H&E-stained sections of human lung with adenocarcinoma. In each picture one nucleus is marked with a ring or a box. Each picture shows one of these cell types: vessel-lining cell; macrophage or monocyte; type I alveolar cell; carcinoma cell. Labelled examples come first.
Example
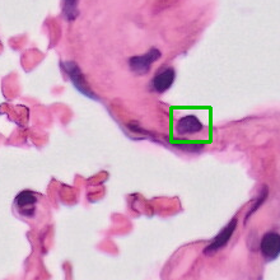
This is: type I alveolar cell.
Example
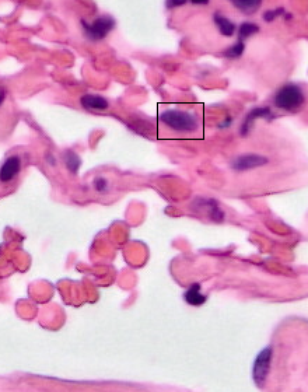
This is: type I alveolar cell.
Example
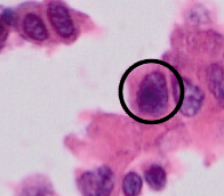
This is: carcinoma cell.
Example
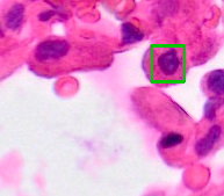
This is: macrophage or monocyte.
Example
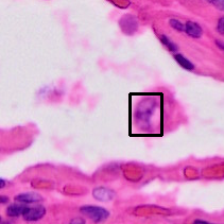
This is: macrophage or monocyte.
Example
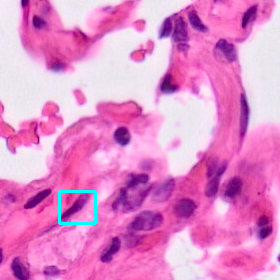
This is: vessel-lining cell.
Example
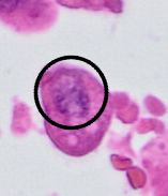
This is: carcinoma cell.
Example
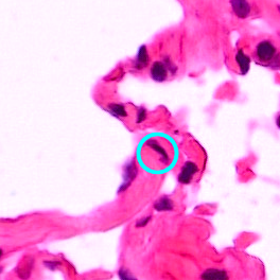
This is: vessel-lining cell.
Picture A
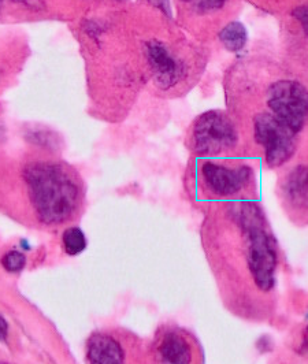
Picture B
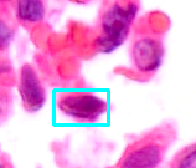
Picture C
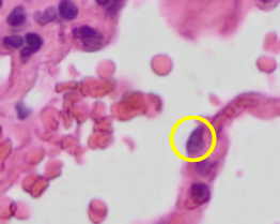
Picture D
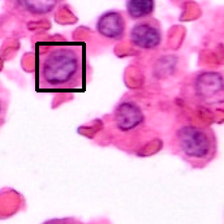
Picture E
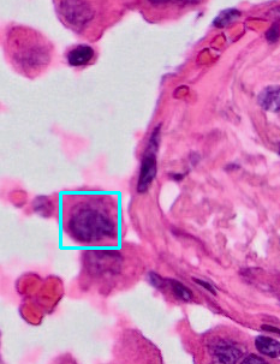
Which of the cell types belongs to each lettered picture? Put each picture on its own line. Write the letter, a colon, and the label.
A: carcinoma cell.
B: carcinoma cell.
C: type I alveolar cell.
D: macrophage or monocyte.
E: carcinoma cell.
